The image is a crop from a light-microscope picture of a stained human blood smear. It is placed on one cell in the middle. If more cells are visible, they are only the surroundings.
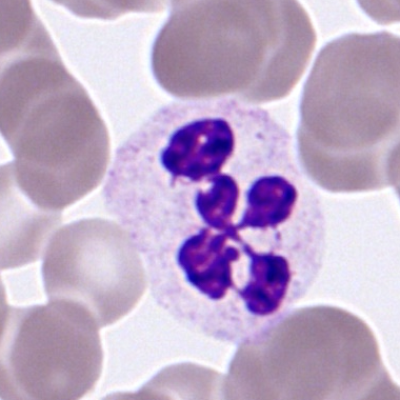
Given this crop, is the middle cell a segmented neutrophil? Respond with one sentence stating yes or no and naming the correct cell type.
Yes, in the middle of the crop is a segmented neutrophil.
